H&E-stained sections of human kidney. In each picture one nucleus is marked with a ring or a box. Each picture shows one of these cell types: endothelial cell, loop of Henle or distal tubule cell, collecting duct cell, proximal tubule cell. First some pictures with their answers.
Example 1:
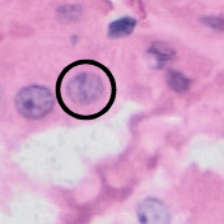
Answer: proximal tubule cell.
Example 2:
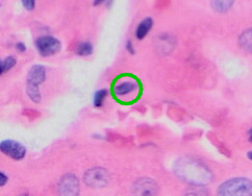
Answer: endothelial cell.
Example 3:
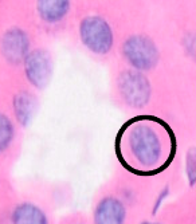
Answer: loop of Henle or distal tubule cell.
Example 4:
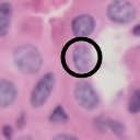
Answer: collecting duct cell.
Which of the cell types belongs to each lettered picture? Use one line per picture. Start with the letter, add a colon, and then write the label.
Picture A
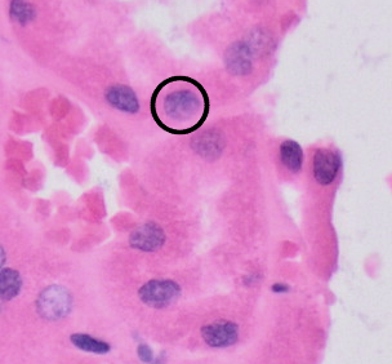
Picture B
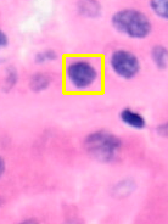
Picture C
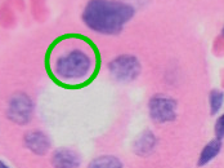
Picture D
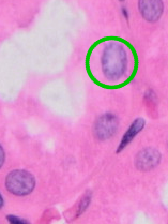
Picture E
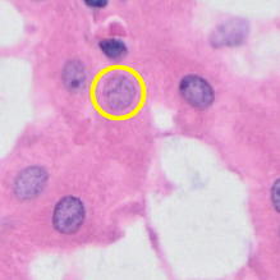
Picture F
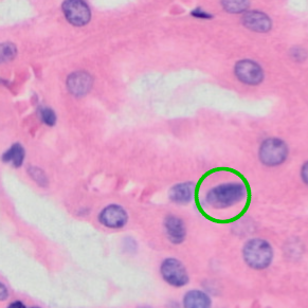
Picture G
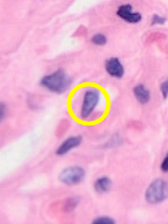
A: proximal tubule cell.
B: loop of Henle or distal tubule cell.
C: loop of Henle or distal tubule cell.
D: proximal tubule cell.
E: proximal tubule cell.
F: endothelial cell.
G: endothelial cell.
